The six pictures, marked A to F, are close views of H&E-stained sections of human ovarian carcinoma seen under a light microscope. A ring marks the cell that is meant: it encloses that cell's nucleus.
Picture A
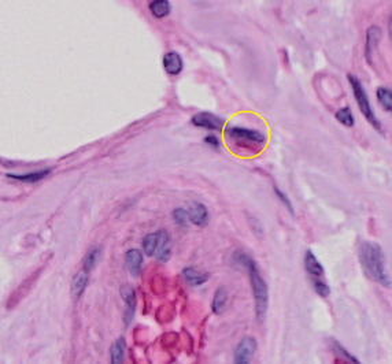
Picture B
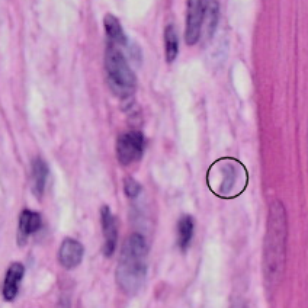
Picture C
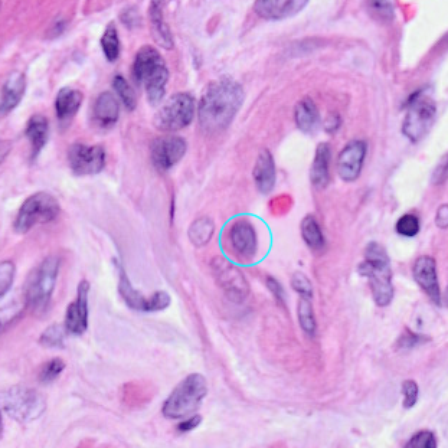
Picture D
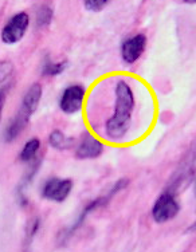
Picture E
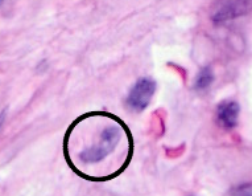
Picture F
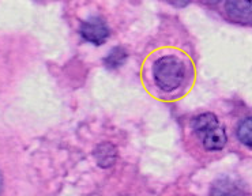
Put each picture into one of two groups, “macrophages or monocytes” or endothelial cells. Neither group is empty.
A: endothelial cell
B: macrophage or monocyte
C: endothelial cell
D: macrophage or monocyte
E: macrophage or monocyte
F: macrophage or monocyte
